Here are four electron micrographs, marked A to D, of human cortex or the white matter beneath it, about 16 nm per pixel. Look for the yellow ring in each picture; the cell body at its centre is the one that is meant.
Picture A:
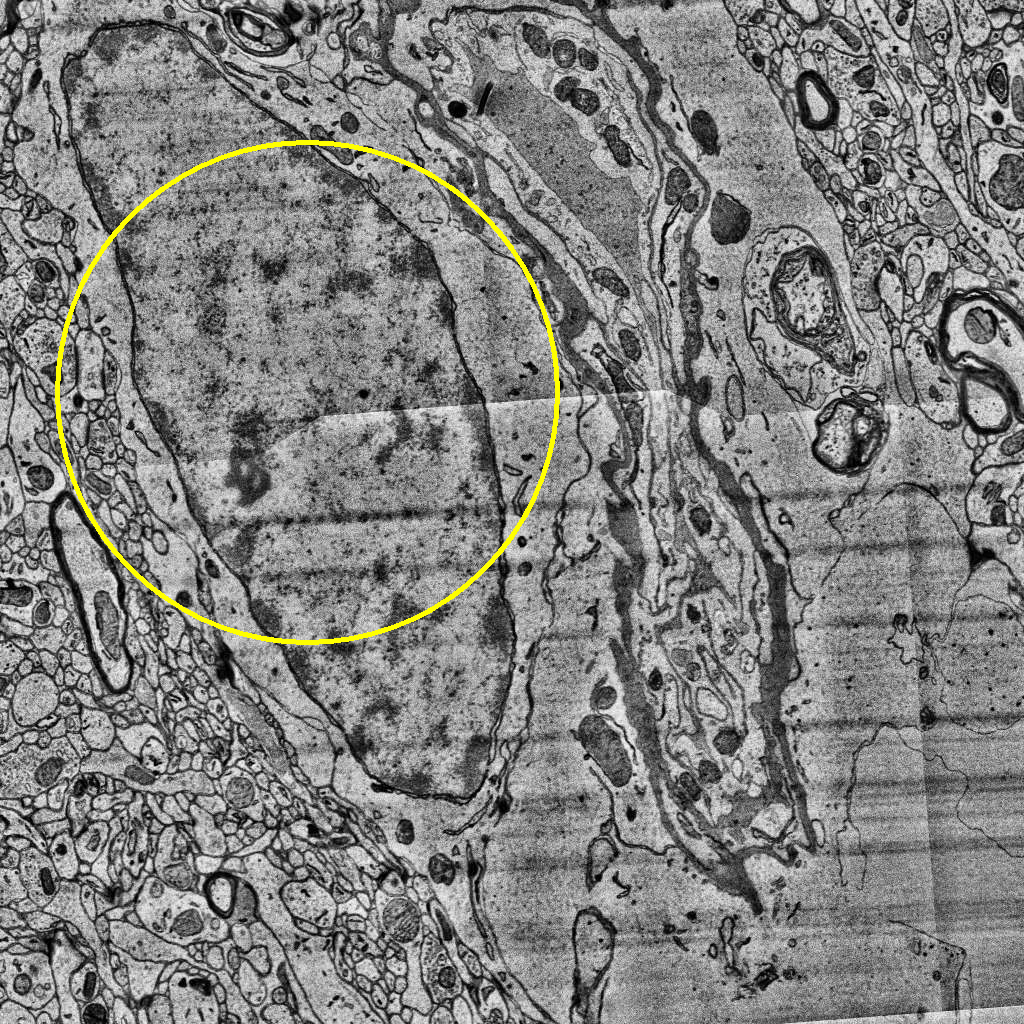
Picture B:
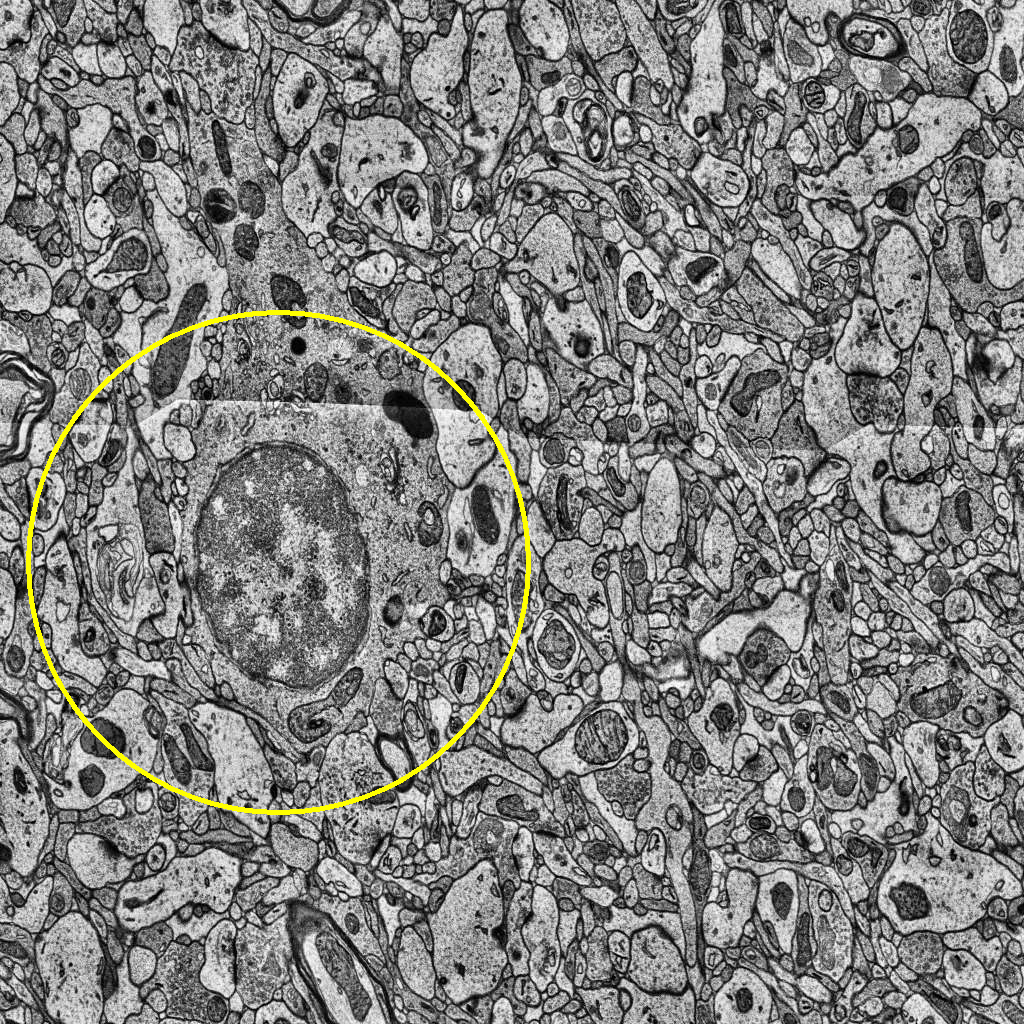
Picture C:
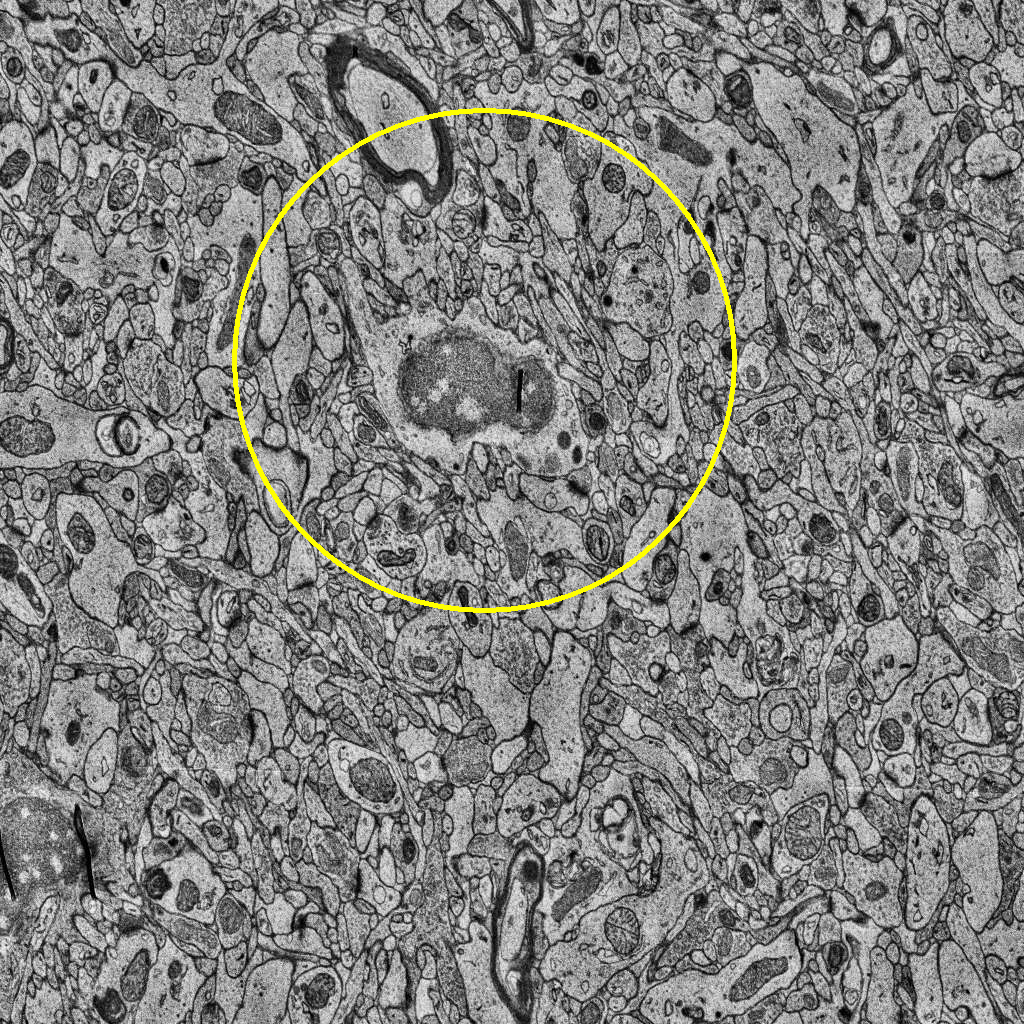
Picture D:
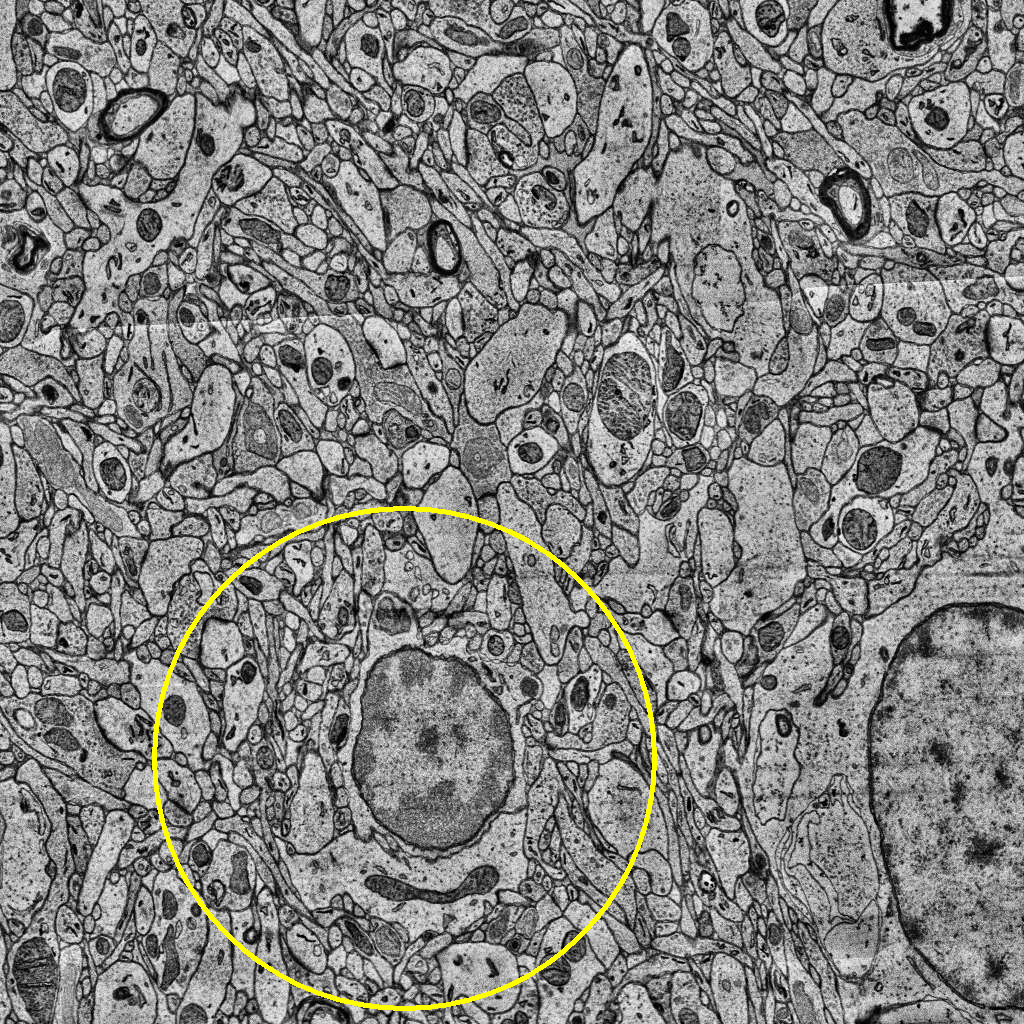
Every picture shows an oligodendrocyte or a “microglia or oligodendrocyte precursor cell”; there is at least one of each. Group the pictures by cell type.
Picture B shows an oligodendrocyte; pictures A, C and D show “microglia or oligodendrocyte precursor cells”.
